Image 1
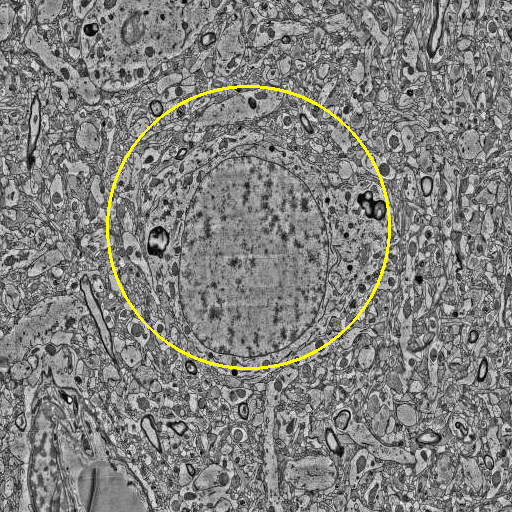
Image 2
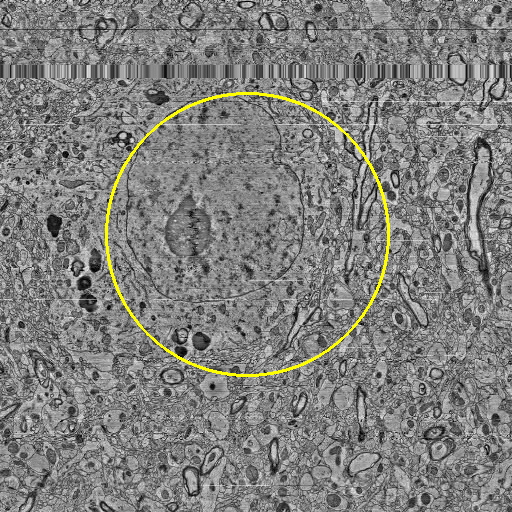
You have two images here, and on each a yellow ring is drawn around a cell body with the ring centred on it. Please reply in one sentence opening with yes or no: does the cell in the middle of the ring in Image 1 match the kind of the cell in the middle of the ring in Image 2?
Yes, the two images show cells of one kind at the centres of their rings.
